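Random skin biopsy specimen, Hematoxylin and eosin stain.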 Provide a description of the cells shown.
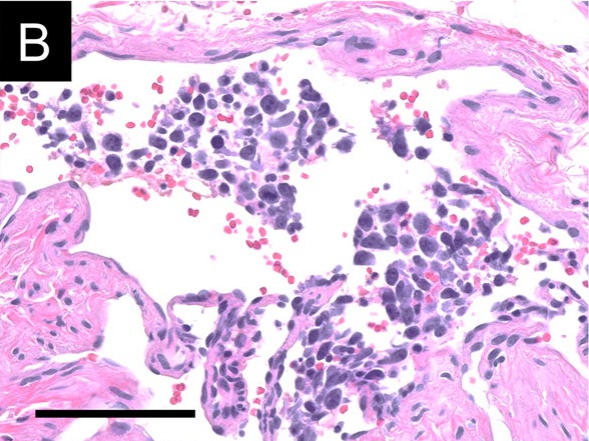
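A dermal blood vessel whose lumen is filled with clusters of atypical lymphocytes among scattered red blood cells. The lymphoid cells are large, with enlarged, irregular, hyperchromatic nuclei that vary in size and shape, and scant cytoplasm. They lie loose within the lumen, bounded by a thin wall of flattened endothelial cells and pink collagenous stroma. The surrounding stroma itself holds no such cells.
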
